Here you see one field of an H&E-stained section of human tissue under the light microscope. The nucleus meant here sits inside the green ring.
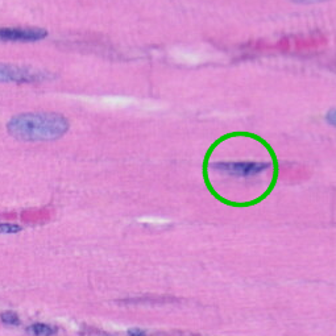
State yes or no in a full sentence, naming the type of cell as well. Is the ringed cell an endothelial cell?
Yes, the ringed cell is recognized as an endothelial cell in this section.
